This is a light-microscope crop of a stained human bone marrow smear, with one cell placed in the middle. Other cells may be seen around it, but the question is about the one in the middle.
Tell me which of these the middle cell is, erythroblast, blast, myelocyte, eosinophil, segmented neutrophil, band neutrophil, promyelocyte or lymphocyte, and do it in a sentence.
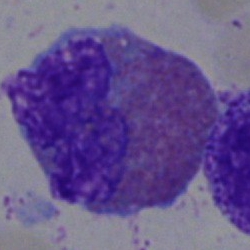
Here the cell in the middle is an eosinophil.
